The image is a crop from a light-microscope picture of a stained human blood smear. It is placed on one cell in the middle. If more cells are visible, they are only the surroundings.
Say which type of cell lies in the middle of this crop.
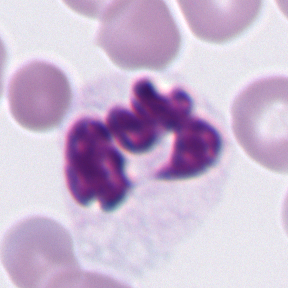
neutrophil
